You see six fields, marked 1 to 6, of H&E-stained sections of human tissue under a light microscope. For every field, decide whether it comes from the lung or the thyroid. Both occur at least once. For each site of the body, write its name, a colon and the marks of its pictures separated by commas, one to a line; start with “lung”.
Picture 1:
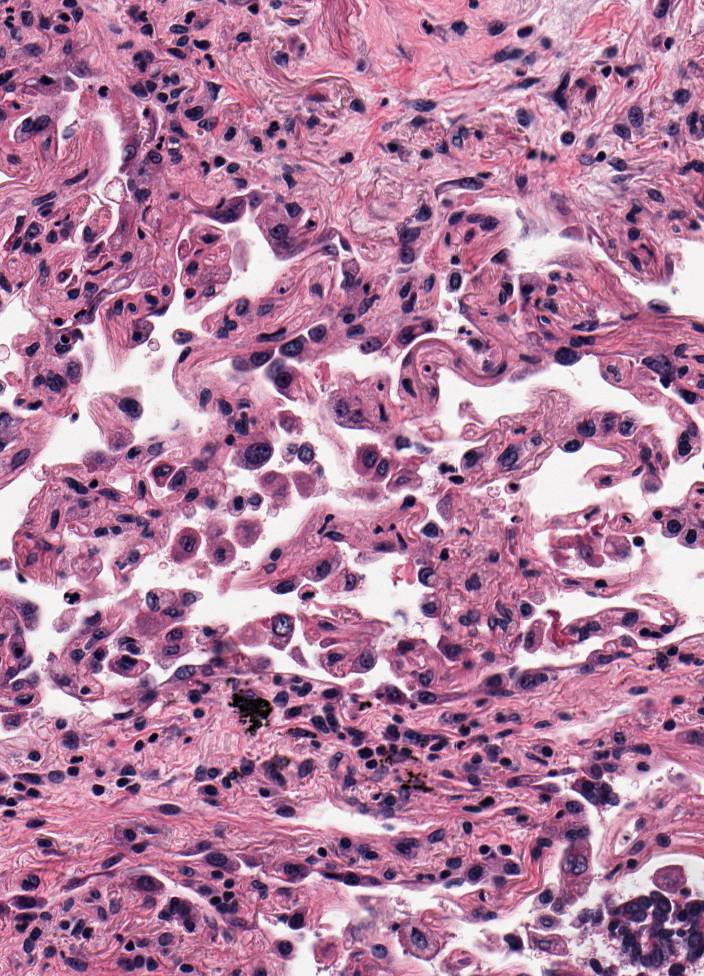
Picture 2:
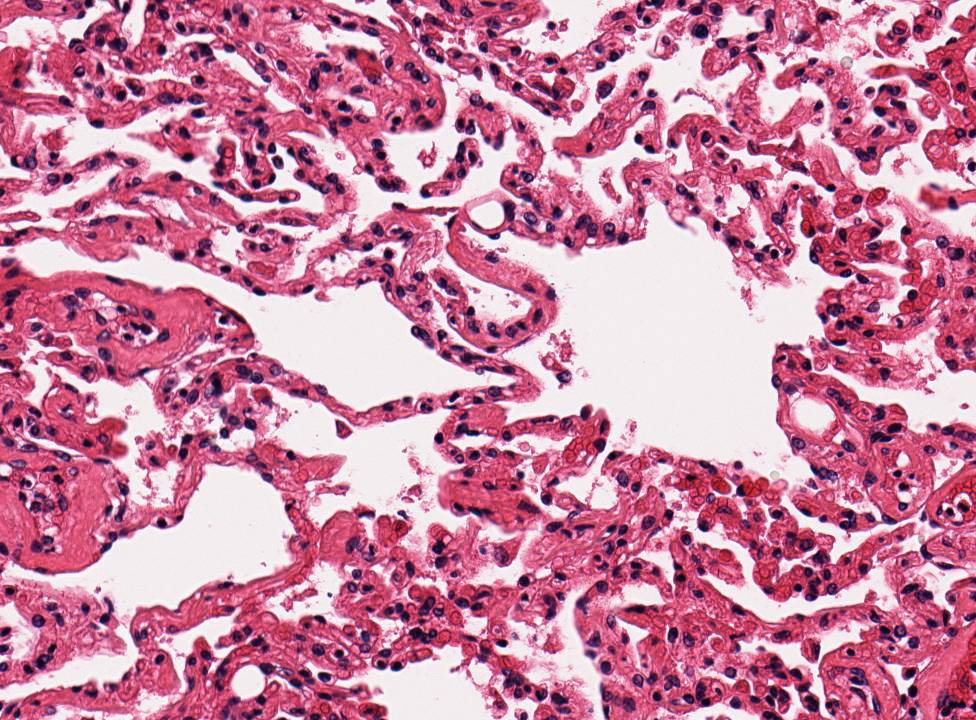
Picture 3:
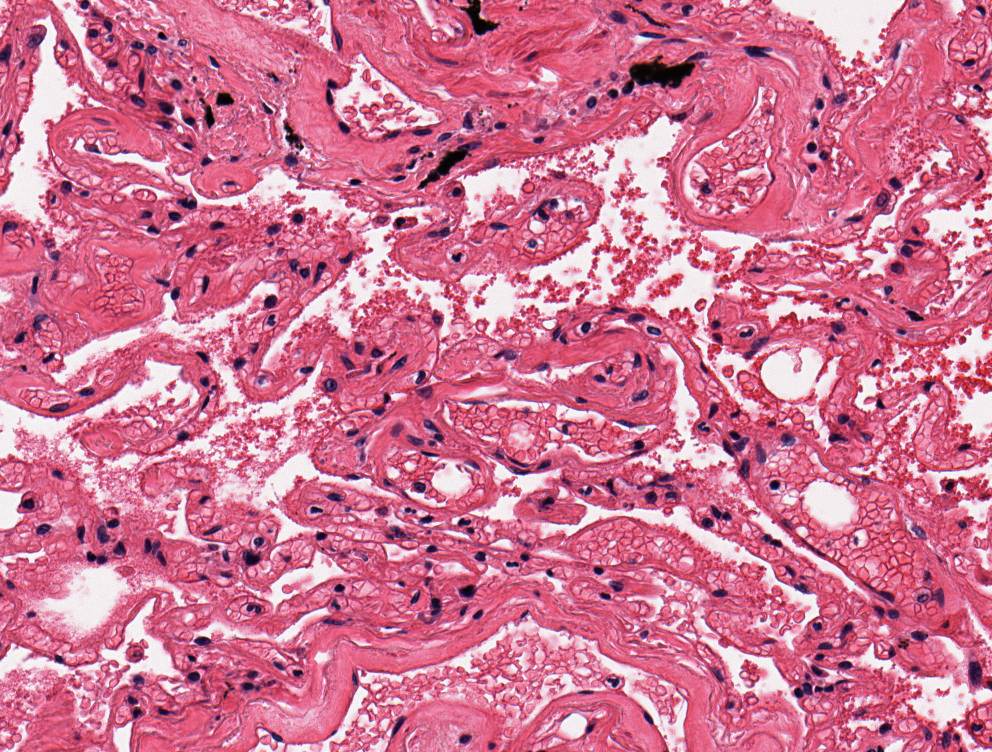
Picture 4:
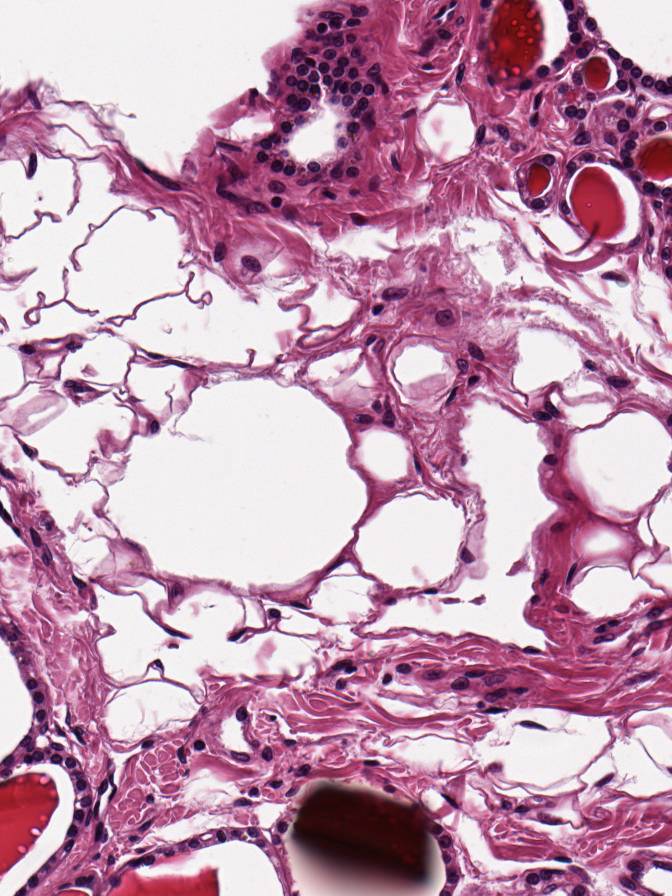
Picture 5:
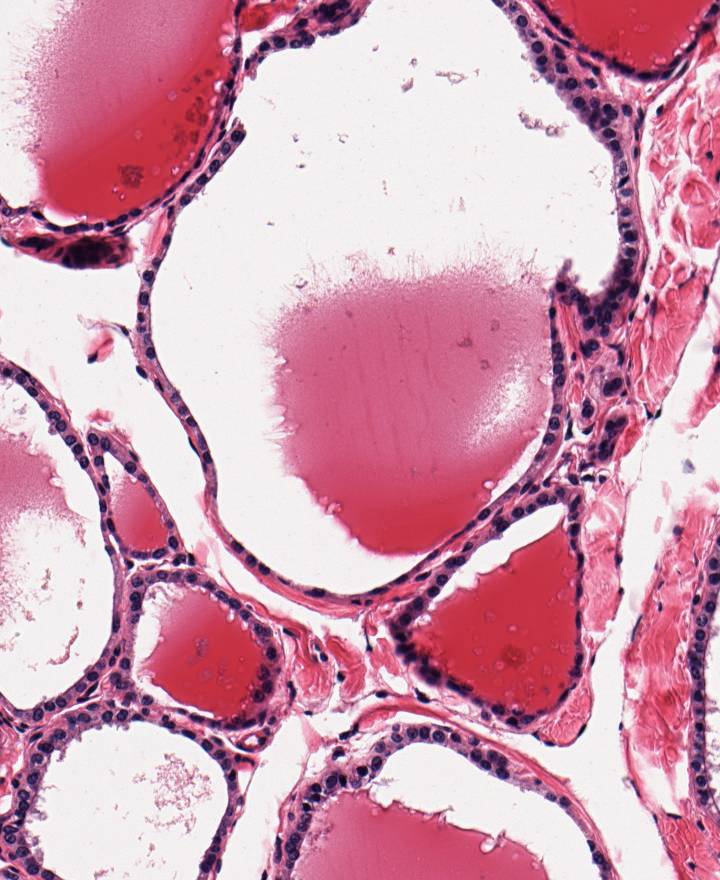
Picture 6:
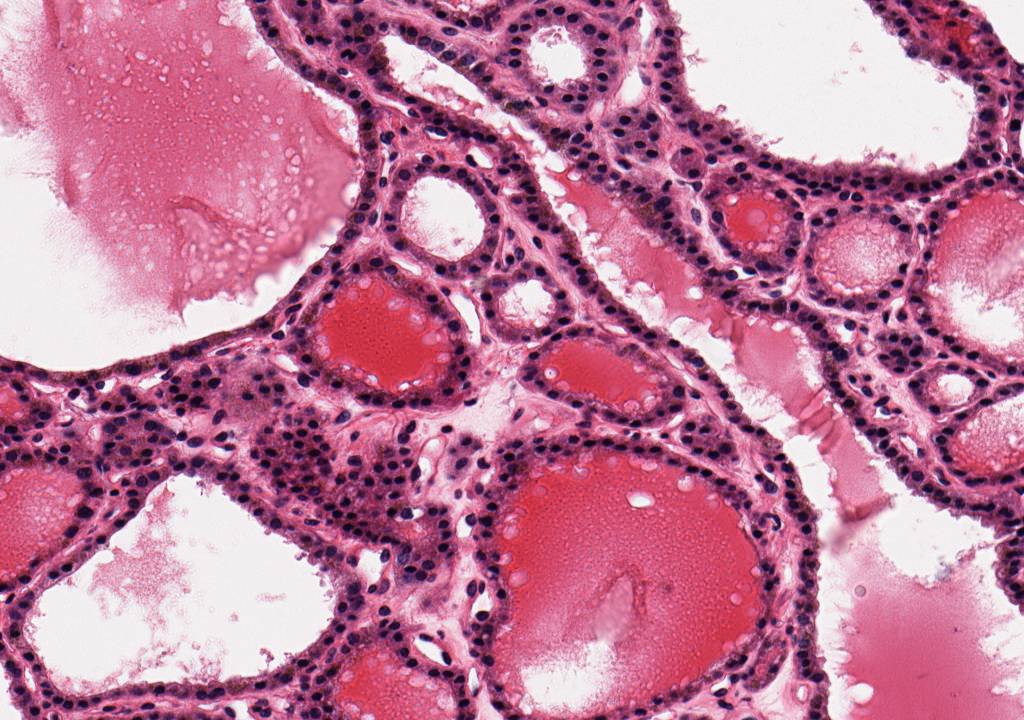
lung: 1, 2, 3
thyroid: 4, 5, 6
